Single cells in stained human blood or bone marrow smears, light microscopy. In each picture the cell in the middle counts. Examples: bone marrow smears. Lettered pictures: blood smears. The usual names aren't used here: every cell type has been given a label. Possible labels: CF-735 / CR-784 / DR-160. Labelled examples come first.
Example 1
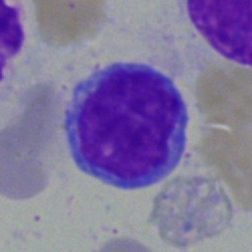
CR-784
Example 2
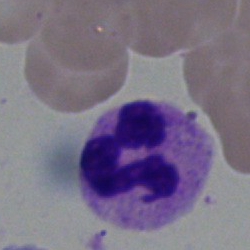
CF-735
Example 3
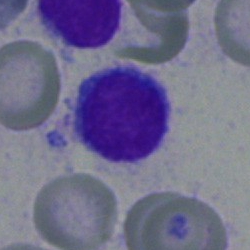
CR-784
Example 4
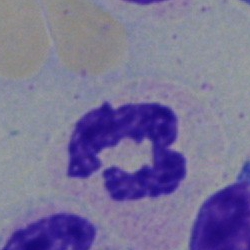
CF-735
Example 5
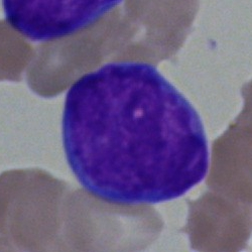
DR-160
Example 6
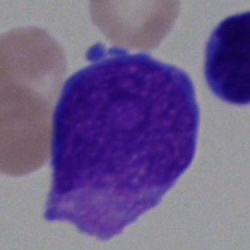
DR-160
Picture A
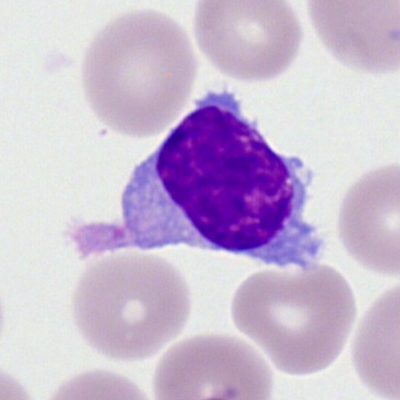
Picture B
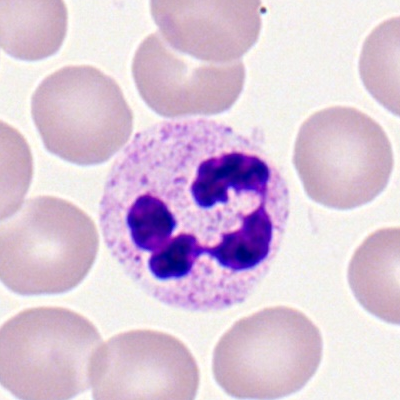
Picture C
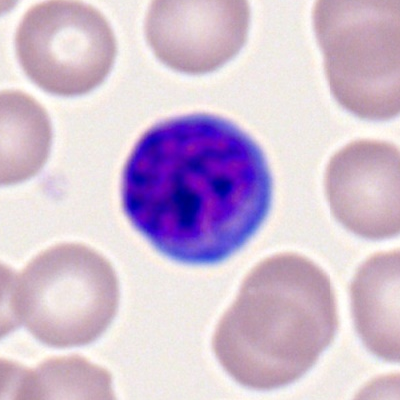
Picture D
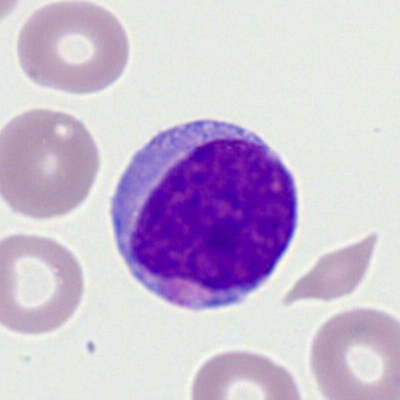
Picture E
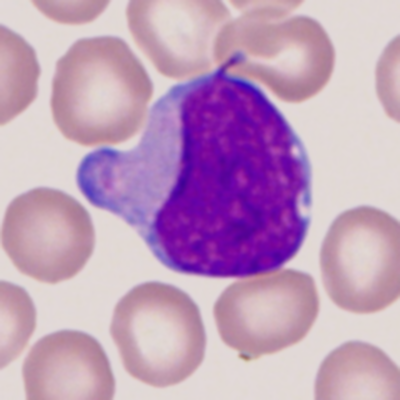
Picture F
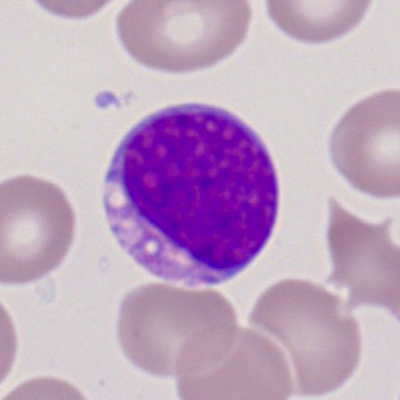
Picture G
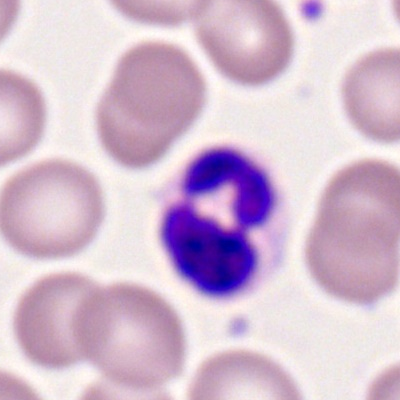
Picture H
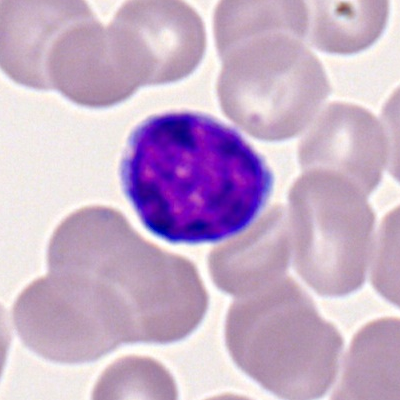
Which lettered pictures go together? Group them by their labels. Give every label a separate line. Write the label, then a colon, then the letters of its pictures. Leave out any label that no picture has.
CF-735: B, G
CR-784: A, C, H
DR-160: D, E, F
